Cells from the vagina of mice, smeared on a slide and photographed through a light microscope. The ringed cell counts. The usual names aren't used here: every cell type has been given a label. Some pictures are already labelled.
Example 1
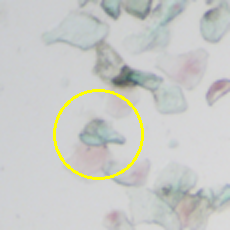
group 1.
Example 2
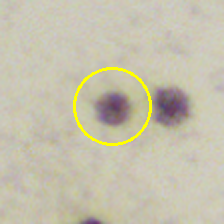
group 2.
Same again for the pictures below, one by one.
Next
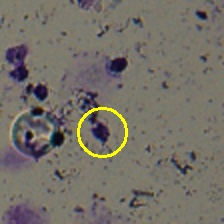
group 2.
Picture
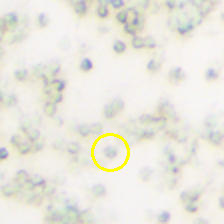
group 2.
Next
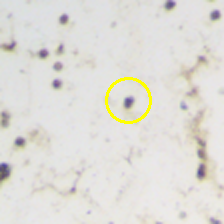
group 2.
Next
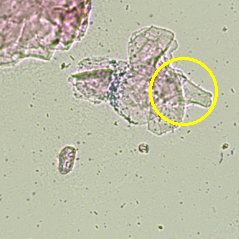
group 1.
